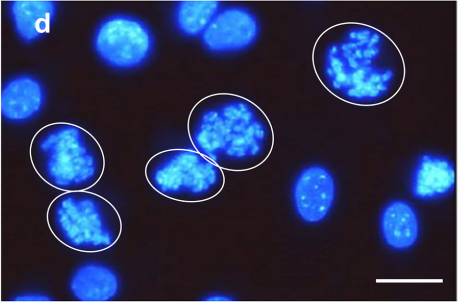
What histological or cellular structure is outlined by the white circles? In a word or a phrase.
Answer: aggregates of chromosomal structures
